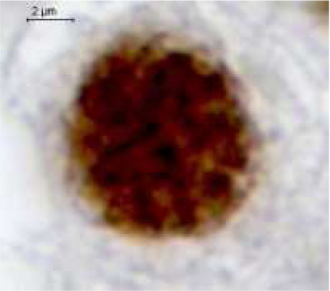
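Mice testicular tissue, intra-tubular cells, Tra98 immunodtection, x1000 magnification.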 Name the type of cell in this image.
Leptotene/zygotene primary spermatocytes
